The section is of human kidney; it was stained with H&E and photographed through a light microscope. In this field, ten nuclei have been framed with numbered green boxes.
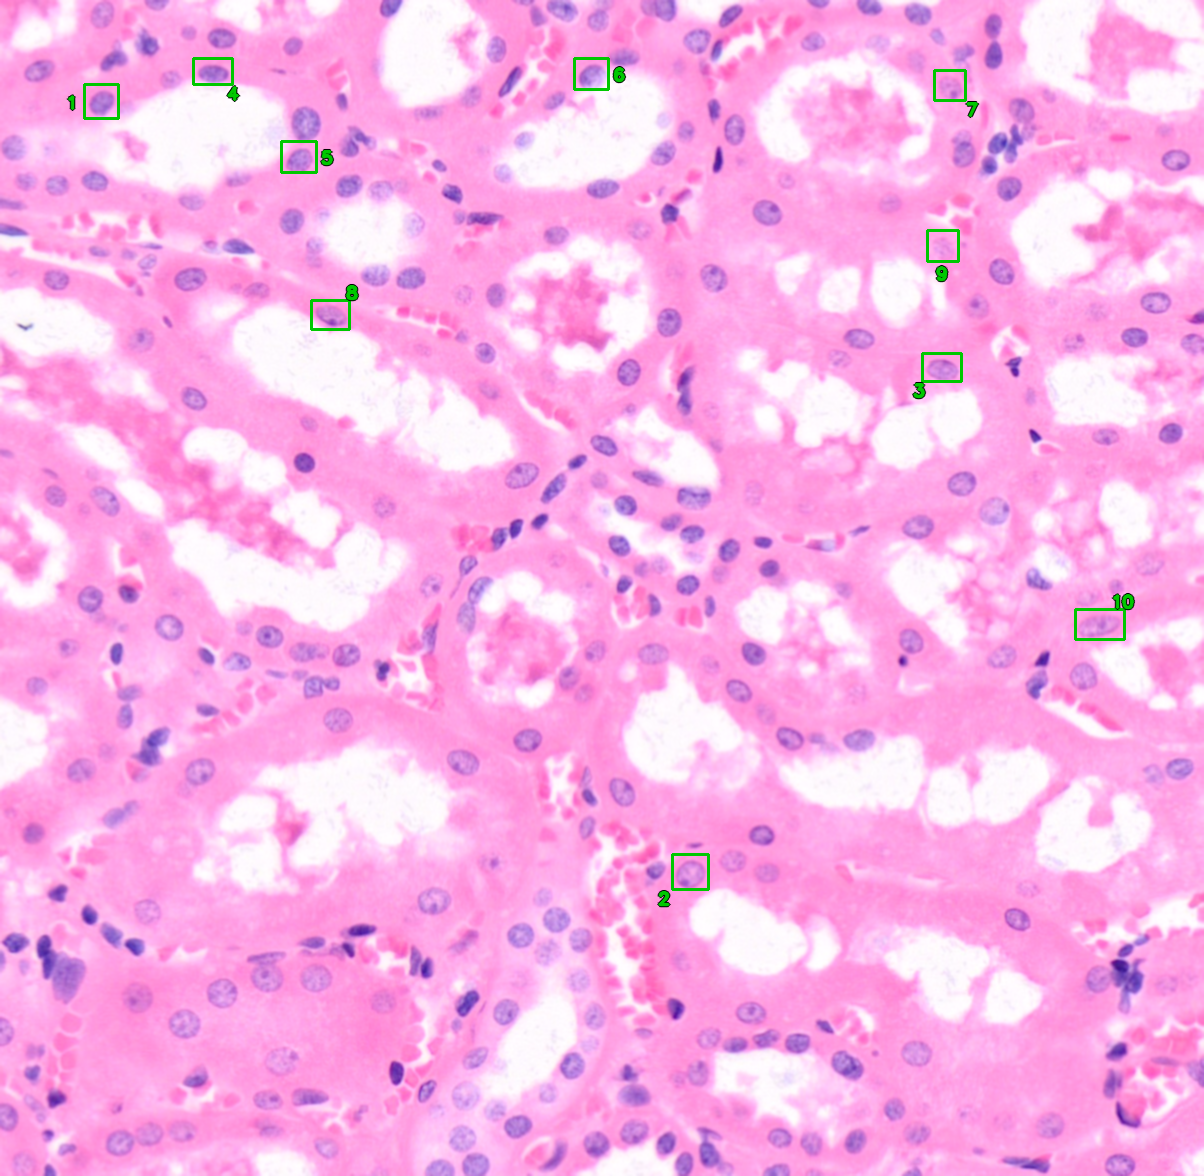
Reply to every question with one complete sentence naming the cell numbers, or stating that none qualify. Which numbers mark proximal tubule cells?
The numbers 2, 3, 7, 8, 9 and 10 refer to cells that are proximal tubule cells.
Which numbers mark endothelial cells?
The numbered set holds no endothelial cells whatsoever.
